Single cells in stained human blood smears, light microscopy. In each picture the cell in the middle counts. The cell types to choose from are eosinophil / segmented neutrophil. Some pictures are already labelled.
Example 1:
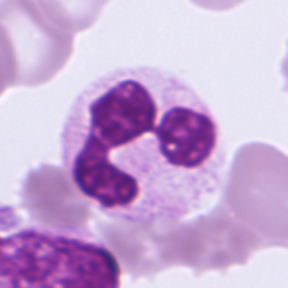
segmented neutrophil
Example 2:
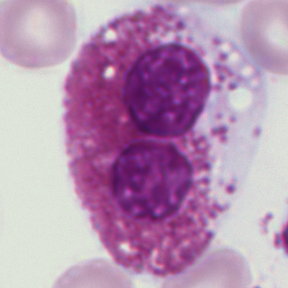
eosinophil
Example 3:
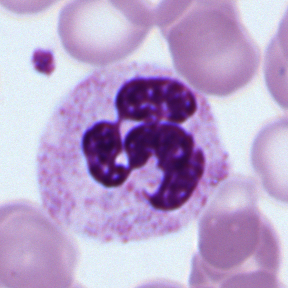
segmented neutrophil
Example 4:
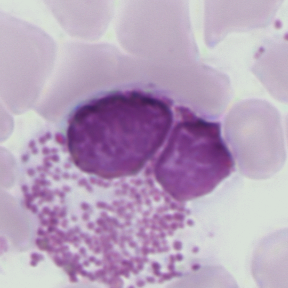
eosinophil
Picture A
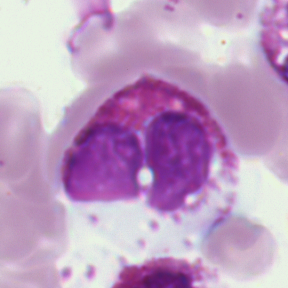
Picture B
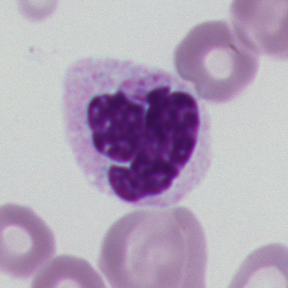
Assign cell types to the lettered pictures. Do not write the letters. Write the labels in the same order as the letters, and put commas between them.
eosinophil, segmented neutrophil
